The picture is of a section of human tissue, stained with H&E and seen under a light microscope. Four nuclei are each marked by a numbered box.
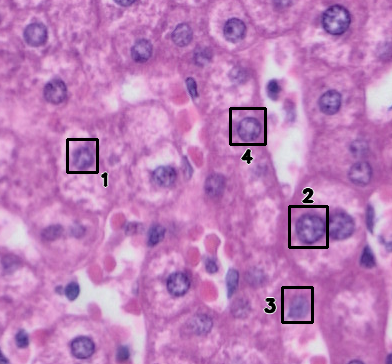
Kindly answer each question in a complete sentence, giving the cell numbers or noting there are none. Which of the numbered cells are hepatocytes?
The cells given the numbers 1, 2 and 4 are hepatocytes.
